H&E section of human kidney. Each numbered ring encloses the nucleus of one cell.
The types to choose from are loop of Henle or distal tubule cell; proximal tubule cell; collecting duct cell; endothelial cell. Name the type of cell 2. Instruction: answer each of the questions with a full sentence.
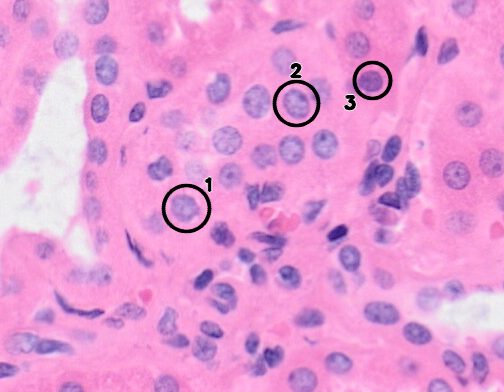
The nucleus with number 2 is that of a loop of Henle or distal tubule cell.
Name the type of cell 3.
Of the numbered cells, the one labelled 3 is a proximal tubule cell.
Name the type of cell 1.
The mark numbered 1 indicates the nucleus of a loop of Henle or distal tubule cell.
